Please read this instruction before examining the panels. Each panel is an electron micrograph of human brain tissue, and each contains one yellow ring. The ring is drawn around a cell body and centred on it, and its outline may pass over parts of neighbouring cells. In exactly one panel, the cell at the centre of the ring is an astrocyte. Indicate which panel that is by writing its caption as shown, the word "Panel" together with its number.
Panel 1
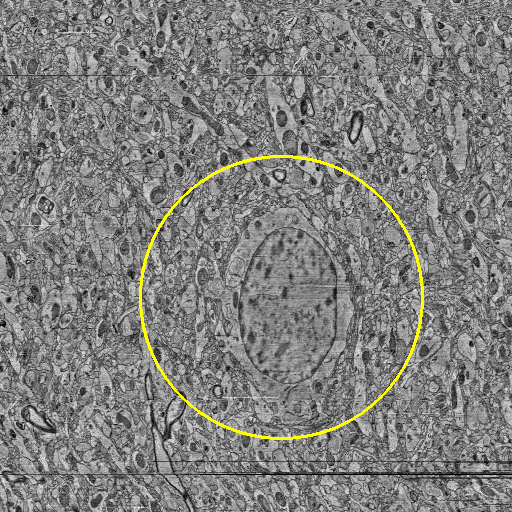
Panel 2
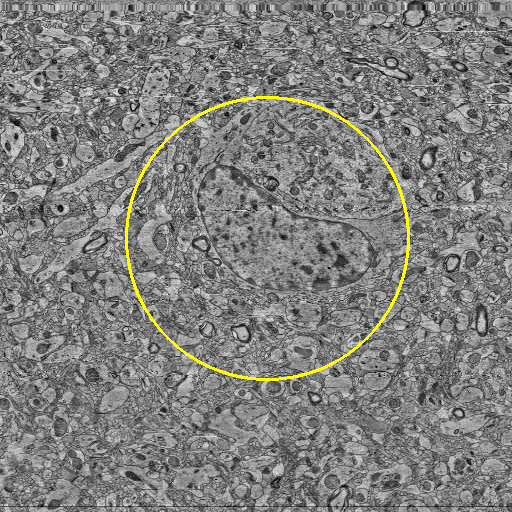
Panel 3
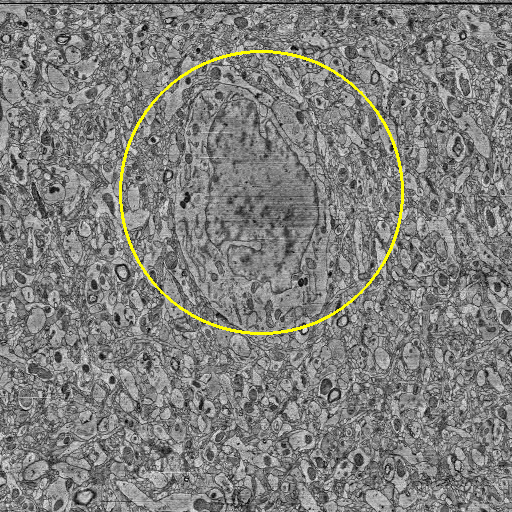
Panel 1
